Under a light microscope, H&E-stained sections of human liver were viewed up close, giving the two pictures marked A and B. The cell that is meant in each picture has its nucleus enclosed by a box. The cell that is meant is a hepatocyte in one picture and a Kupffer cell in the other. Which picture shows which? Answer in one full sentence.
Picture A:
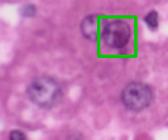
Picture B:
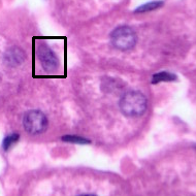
Picture A is of a hepatocyte, and picture B is of a Kupffer cell.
